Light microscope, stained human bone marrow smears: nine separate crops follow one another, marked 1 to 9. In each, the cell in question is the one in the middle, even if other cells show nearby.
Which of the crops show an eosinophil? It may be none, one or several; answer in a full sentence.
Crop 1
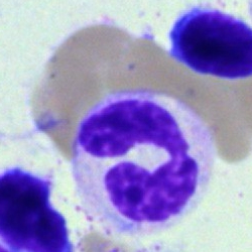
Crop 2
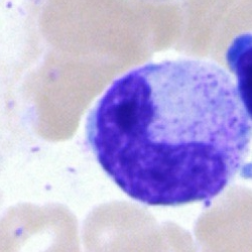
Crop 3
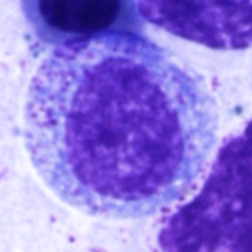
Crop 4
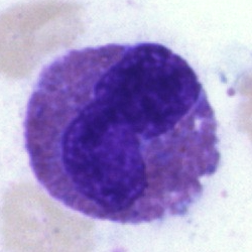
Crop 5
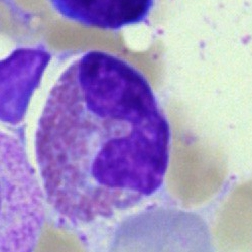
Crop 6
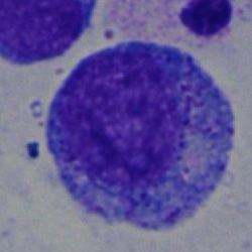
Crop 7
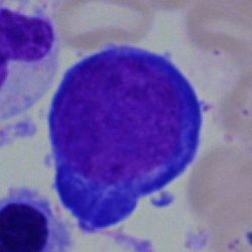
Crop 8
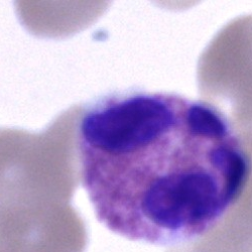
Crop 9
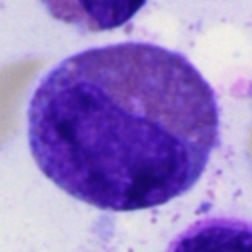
In this set, crops 4, 5, 8 and 9 show eosinophils.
